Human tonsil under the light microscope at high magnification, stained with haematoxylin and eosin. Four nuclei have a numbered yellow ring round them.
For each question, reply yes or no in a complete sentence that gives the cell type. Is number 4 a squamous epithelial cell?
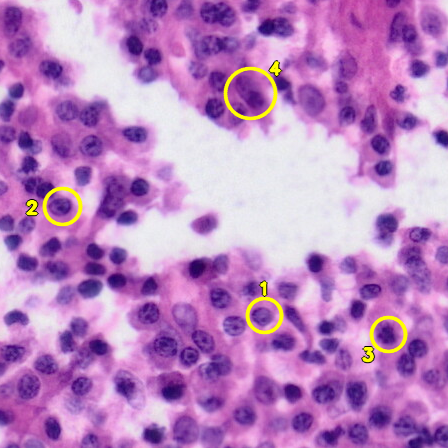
Yes, the cell numbered 4 in this tissue is a squamous epithelial cell.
